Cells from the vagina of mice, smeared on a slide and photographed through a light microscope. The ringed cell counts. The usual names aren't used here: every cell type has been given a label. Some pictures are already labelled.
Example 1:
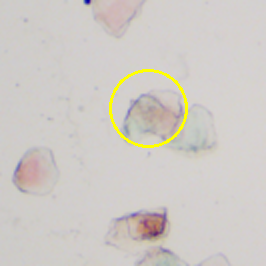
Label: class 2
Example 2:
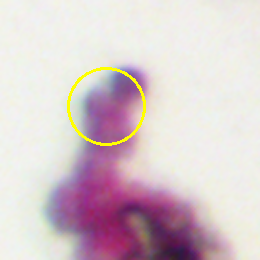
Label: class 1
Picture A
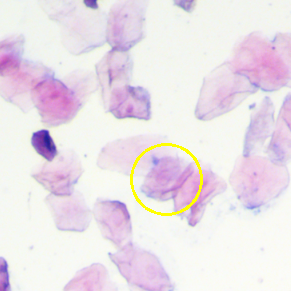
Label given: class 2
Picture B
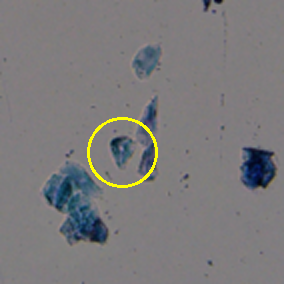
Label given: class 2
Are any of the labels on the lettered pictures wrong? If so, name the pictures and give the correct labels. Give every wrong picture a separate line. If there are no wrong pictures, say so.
All correct.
